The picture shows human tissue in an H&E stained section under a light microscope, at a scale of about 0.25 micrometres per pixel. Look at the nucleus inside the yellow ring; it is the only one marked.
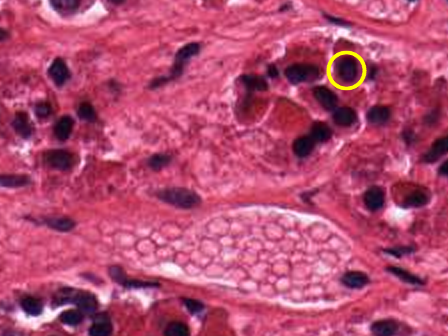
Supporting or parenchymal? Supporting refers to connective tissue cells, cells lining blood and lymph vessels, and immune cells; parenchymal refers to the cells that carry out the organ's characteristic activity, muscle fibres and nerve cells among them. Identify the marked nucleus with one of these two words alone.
parenchymal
